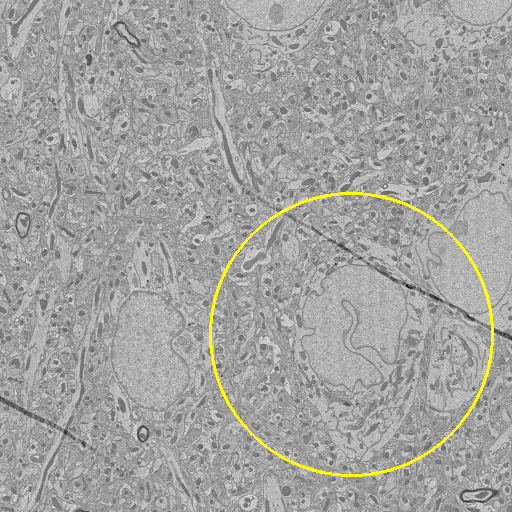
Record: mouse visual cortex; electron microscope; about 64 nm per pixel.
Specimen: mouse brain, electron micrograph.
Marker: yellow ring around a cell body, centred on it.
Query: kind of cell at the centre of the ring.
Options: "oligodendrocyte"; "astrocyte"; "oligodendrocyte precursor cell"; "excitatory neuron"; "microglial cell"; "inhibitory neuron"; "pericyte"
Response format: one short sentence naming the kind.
This cell body belongs to an inhibitory neuron.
